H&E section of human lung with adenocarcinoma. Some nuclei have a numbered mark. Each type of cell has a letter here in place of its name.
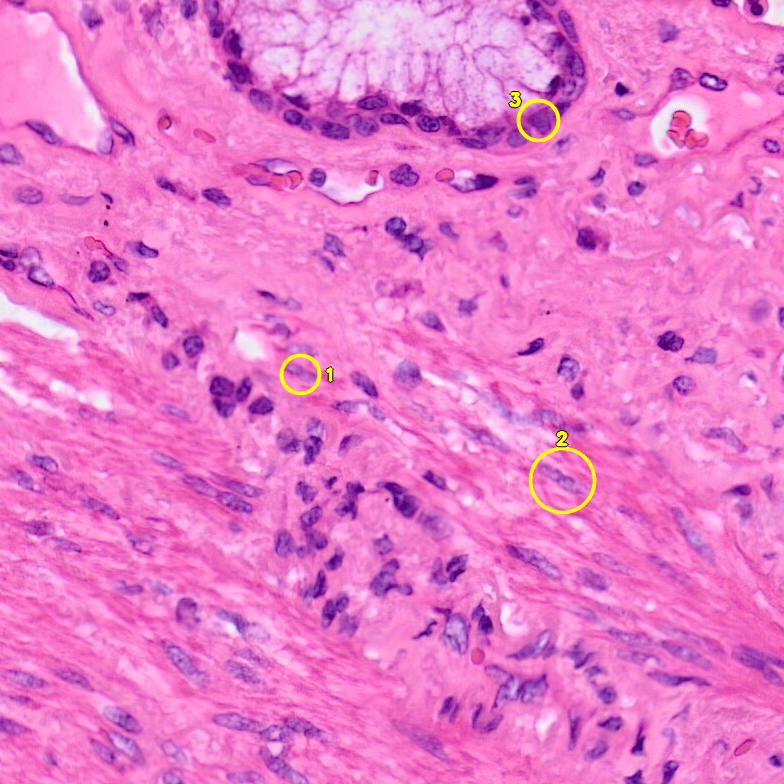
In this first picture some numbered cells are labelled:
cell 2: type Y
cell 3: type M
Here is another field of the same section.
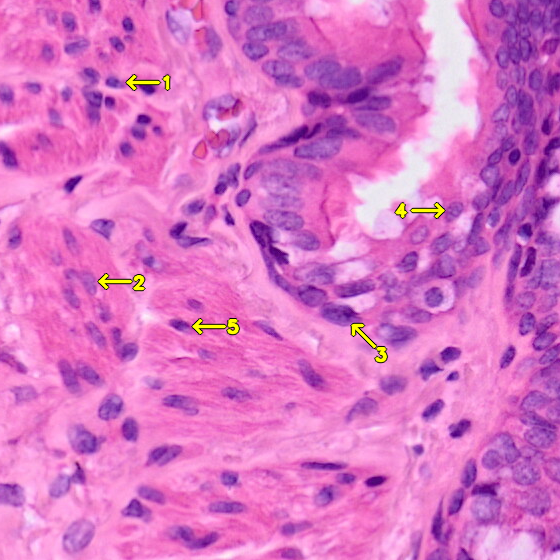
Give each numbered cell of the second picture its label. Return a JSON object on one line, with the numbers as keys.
{"1": "type Y", "2": "type Y", "3": "type M", "4": "type M", "5": "type Y"}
